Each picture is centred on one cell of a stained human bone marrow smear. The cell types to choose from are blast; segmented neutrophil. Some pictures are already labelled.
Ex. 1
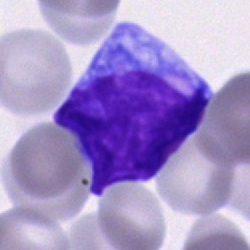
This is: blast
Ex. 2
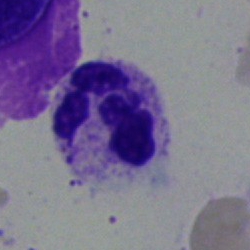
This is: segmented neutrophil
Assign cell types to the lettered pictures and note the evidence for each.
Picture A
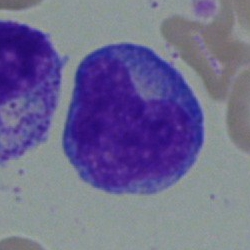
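blast. Evidence: The nucleus fills most of the cell, leaving a narrow rim of cytoplasm.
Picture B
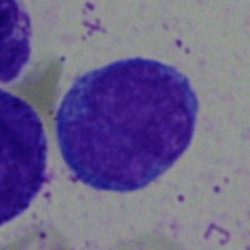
blast. Evidence: The cytoplasm is only a thin rim around the nucleus.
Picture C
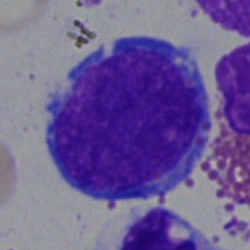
blast. Evidence: The cytoplasm forms only a thin rim around the nucleus.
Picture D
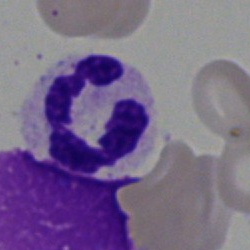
segmented neutrophil. Evidence: The chromatin is dense, dark purple and coarsely clumped.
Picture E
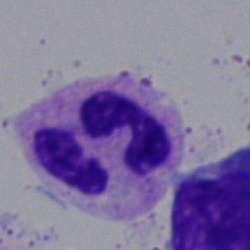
segmented neutrophil. Evidence: The chromatin is dark purple and coarsely clumped.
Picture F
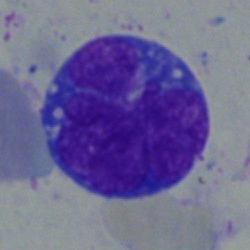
blast. Evidence: The cytoplasm is a narrow rim of deep blue around the nucleus.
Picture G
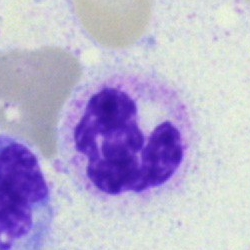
segmented neutrophil. Evidence: The chromatin is dense, dark purple and coarsely clumped.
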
